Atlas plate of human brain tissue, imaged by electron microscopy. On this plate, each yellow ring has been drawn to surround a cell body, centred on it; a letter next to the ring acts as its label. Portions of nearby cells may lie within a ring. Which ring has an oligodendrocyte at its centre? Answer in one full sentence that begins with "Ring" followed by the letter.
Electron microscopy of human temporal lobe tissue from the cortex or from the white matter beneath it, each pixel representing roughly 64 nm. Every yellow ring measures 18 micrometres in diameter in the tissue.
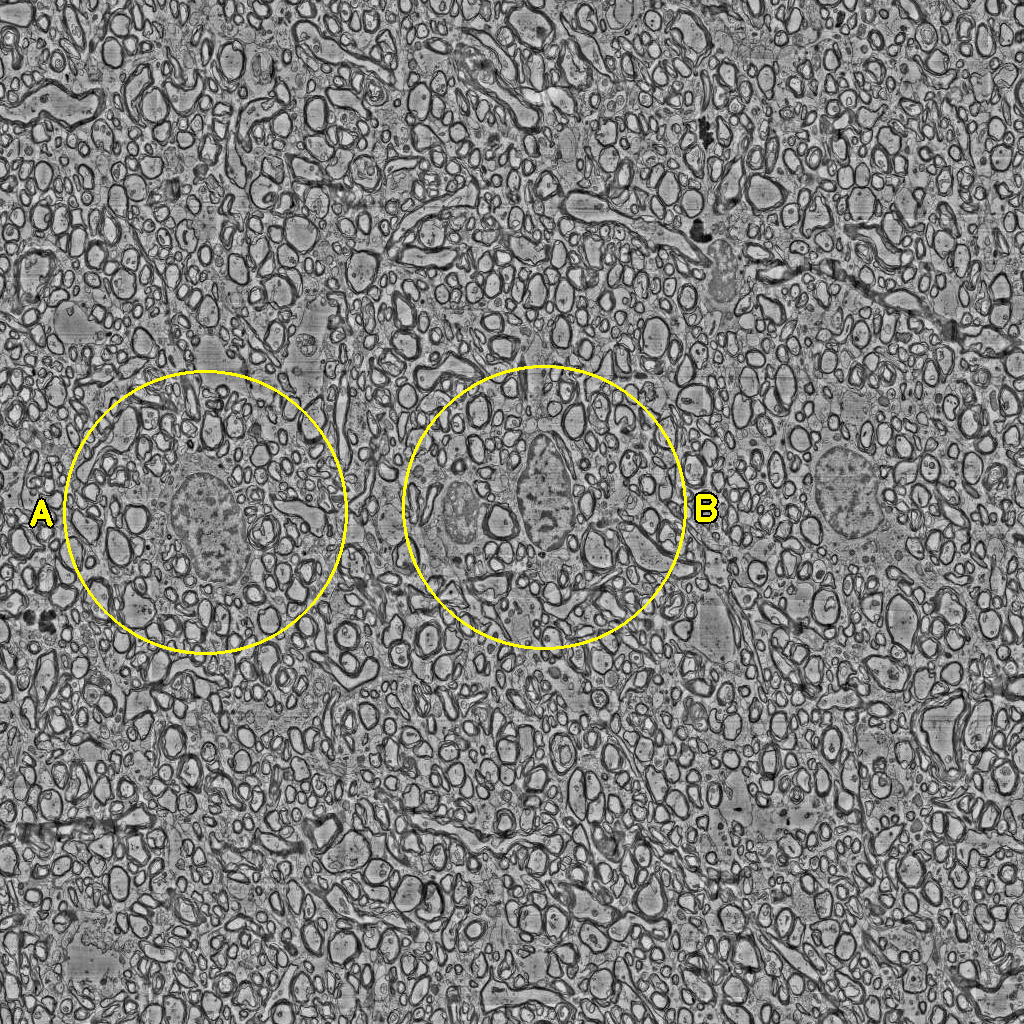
Ring A is drawn around the requested cell, which lies at its centre in the picture.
